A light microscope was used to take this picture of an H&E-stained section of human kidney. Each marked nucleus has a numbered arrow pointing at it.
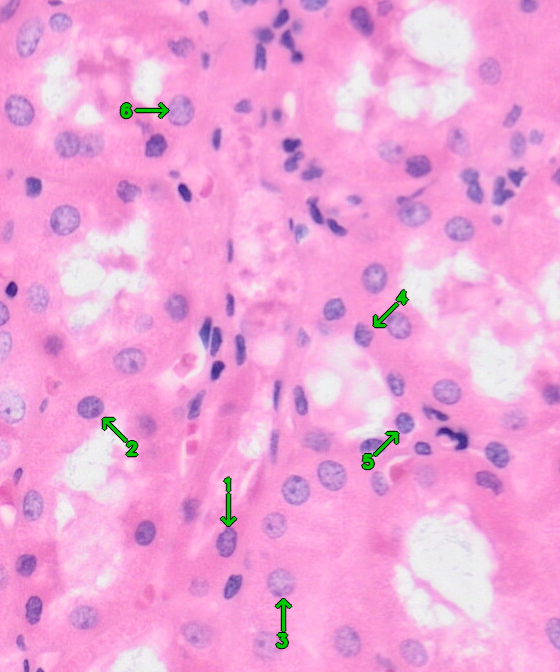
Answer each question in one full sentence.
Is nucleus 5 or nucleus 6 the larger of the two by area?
Number 6 is larger; its area is about 2 times that of number 5.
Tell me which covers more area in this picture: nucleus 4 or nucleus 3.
At about 1.5 times the area of nucleus 4, nucleus 3 is the larger of the two.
